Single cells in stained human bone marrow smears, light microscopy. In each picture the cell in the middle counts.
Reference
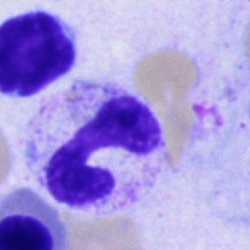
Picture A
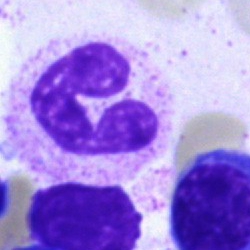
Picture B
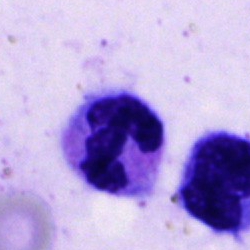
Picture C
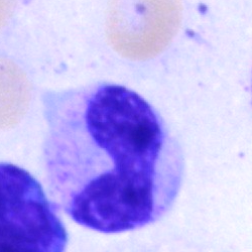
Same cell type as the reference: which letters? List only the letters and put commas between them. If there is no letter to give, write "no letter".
A, B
